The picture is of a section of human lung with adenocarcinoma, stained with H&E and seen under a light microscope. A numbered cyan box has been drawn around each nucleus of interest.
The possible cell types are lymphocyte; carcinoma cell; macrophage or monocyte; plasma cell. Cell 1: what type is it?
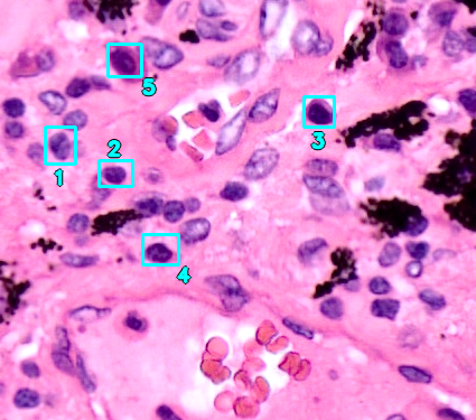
lymphocyte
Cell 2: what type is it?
lymphocyte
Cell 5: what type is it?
plasma cell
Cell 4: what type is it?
plasma cell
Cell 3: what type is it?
plasma cell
